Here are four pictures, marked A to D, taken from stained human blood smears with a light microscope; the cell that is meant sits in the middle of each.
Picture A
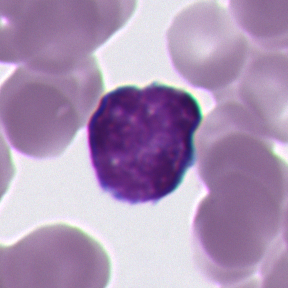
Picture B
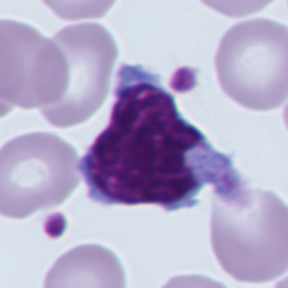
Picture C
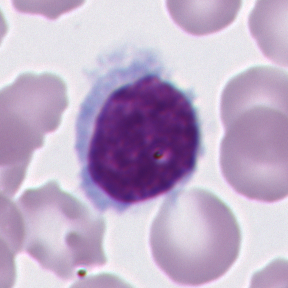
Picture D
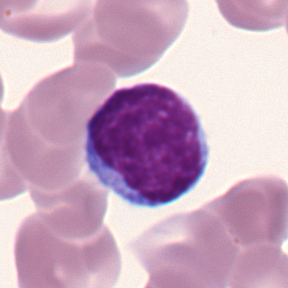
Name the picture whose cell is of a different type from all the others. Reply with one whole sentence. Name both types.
All pictures except C show typical lymphocytes; picture C shows a hairy cell.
